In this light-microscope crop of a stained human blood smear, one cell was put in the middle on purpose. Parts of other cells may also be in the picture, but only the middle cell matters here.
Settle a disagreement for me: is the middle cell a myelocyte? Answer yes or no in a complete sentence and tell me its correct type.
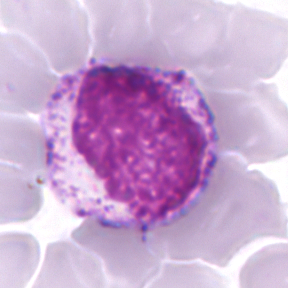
Yes, the cell shown centrally is a myelocyte.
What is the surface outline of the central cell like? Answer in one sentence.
No smooth contour is present; the border is ragged or extended into projections.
